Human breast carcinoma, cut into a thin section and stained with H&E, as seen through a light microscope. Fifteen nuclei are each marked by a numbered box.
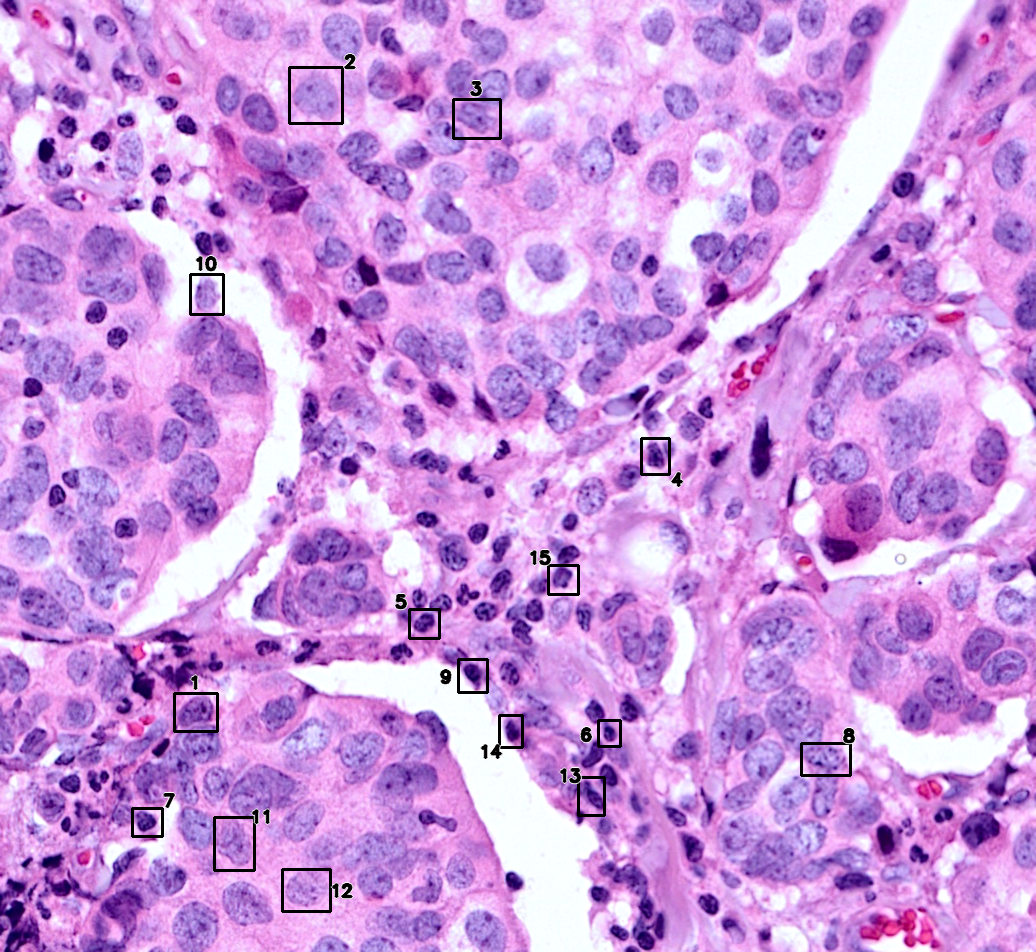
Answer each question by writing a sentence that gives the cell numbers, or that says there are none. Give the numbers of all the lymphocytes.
The cells that have been numbered 4, 5, 6, 7, 9, 13, 14 and 15 are lymphocytes.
